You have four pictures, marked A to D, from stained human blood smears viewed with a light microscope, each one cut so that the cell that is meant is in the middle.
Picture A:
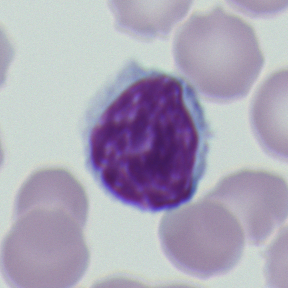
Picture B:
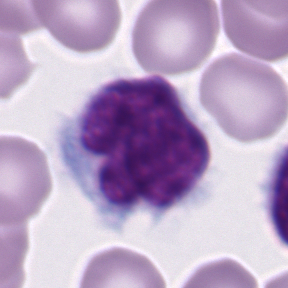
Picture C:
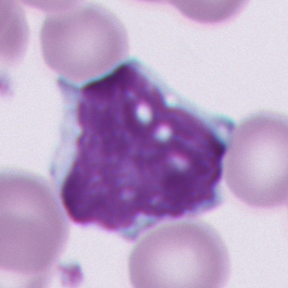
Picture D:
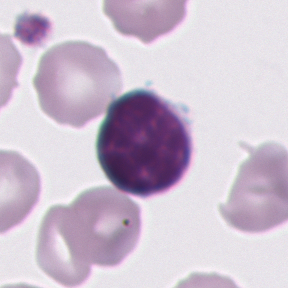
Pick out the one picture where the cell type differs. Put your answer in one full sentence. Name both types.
The different one is picture B; it shows a hairy cell, whereas all the others show typical lymphocytes.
